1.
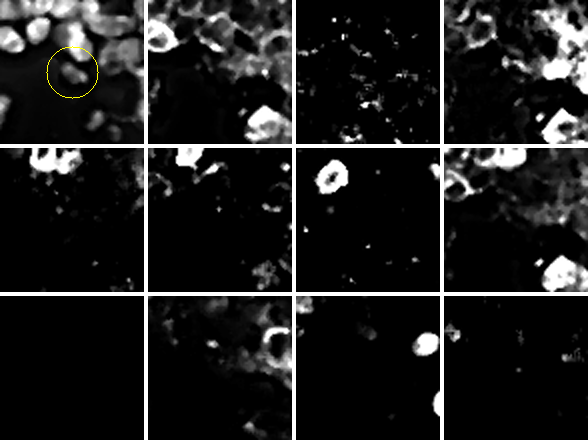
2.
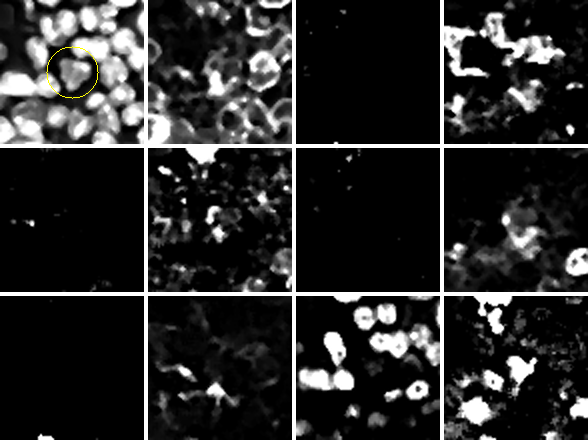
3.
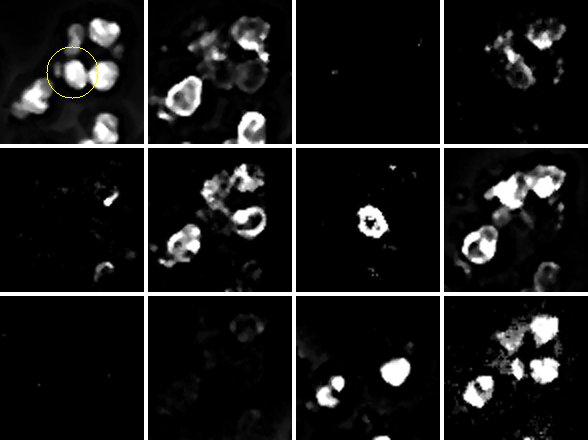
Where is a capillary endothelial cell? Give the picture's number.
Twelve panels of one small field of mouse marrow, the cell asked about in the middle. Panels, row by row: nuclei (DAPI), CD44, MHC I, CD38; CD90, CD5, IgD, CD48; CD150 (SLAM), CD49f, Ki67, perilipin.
1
